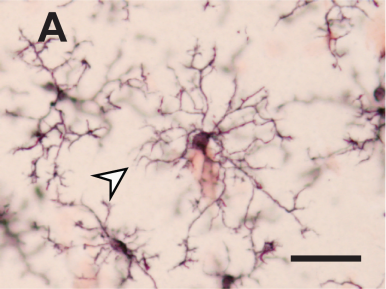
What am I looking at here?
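A ramified microglial cell lies in pale neuropil, with a small elongated cell body from which many thin, finely branched processes radiate in all directions. Neighbouring microglia show the same delicate, widely spread branching.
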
